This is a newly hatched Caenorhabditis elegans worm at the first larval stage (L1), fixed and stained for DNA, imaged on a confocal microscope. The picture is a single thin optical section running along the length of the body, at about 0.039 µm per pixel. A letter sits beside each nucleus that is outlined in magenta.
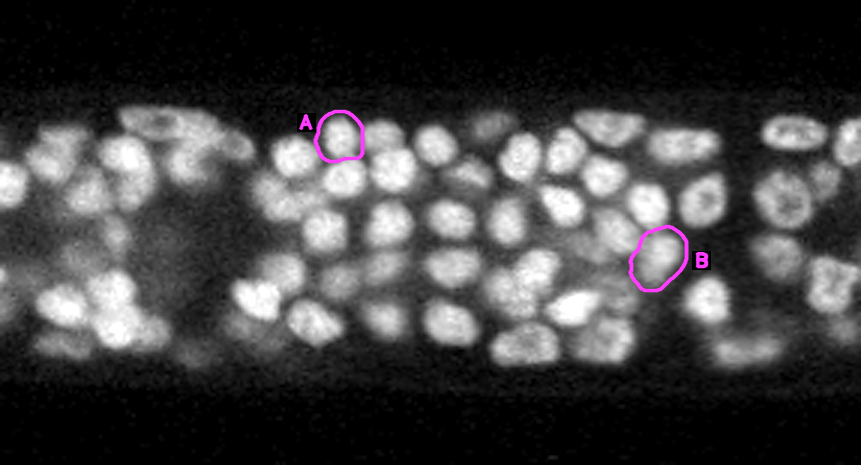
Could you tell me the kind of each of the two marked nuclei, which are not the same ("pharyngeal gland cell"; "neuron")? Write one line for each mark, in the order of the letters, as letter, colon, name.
A: neuron
B: pharyngeal gland cell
